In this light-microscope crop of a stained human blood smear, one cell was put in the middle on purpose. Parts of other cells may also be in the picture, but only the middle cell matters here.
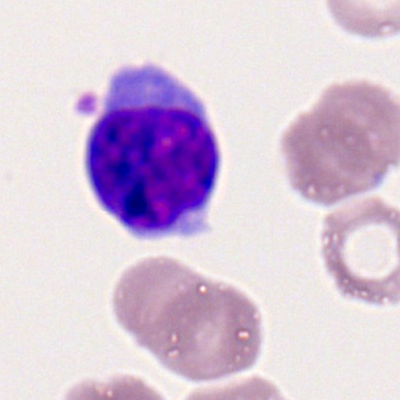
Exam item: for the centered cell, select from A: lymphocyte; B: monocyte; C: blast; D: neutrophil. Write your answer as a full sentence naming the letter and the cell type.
The correct option here is A; the middle cell is a lymphocyte.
